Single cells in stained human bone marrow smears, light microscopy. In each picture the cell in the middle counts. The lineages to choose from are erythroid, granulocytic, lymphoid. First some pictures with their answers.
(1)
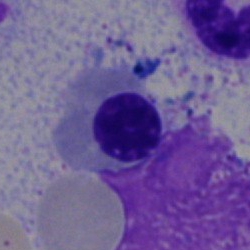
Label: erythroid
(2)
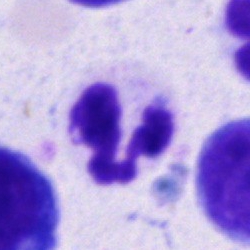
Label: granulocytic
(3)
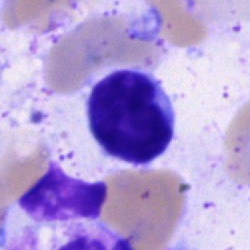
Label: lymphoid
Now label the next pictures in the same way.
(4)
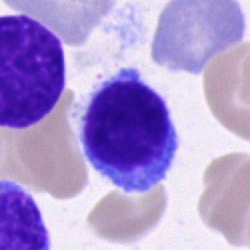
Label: lymphoid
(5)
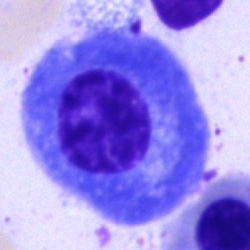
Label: lymphoid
